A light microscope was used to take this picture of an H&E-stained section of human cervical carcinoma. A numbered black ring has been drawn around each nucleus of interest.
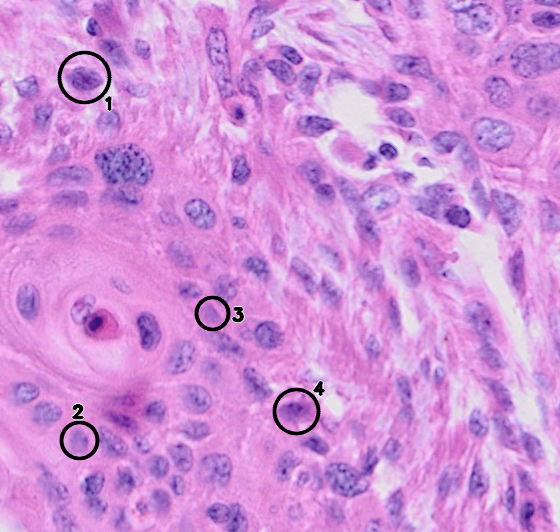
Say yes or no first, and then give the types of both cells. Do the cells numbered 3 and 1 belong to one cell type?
No, cell 3 is a squamous carcinoma cell and cell 1 is a macrophage or monocyte.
